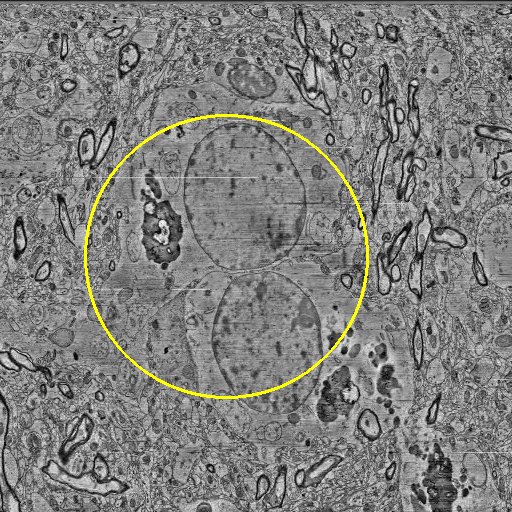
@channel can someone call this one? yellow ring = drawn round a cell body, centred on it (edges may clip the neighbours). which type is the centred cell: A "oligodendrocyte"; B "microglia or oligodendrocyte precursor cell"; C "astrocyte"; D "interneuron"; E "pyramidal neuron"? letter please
C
